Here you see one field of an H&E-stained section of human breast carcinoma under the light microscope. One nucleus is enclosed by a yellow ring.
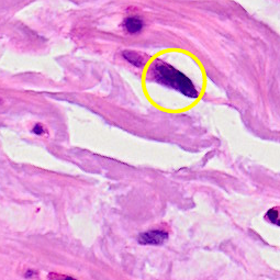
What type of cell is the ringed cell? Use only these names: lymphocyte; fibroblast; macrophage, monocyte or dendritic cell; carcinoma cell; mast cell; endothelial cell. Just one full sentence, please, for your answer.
It is a fibroblast that the ringed cell represents.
